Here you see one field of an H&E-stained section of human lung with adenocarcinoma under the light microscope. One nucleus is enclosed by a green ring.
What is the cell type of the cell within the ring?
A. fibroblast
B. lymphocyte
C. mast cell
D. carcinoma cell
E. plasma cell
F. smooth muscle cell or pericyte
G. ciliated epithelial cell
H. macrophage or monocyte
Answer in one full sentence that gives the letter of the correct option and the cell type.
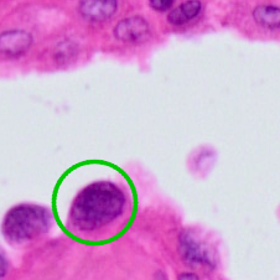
The item is answered by option D: the cell within the ring is a carcinoma cell.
